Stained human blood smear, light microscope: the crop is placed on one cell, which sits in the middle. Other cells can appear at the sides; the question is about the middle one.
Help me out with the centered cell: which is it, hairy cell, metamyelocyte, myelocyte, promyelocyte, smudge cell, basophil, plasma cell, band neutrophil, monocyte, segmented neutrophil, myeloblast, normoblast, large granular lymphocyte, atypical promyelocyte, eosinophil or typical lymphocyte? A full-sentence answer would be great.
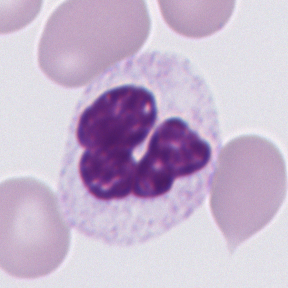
By type, the central cell of the crop is a segmented neutrophil.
